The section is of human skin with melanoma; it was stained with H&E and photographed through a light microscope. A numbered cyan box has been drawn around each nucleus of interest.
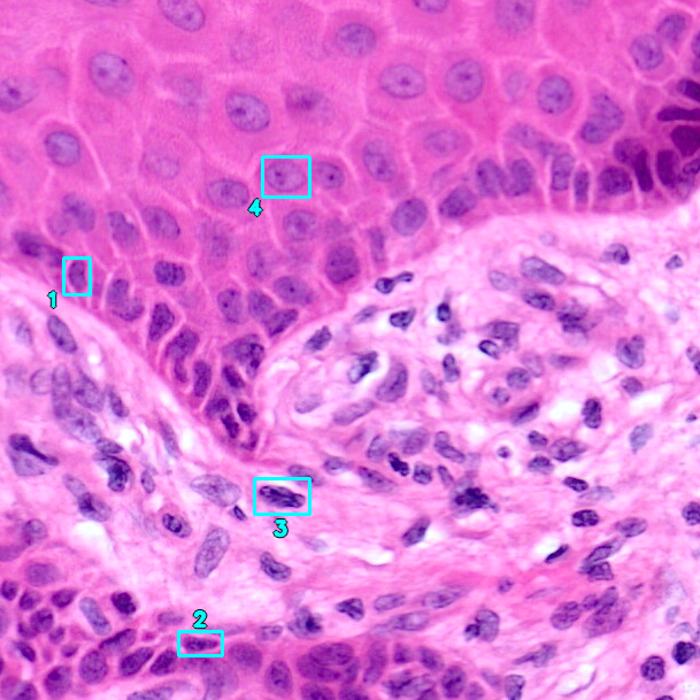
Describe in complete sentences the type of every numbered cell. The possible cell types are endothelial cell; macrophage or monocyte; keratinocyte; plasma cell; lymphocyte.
Cell 1 is a keratinocyte, cell 2 is a keratinocyte, cell 3 is a lymphocyte and cell 4 is a keratinocyte.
